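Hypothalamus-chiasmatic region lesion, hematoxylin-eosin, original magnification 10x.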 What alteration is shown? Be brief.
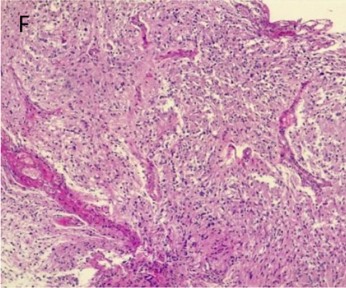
Highly cellular neoplasm having a fibrillary background.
